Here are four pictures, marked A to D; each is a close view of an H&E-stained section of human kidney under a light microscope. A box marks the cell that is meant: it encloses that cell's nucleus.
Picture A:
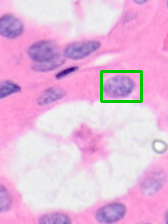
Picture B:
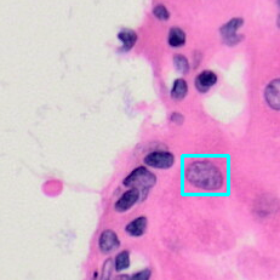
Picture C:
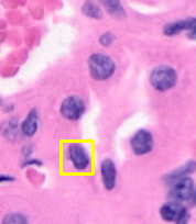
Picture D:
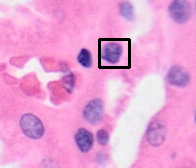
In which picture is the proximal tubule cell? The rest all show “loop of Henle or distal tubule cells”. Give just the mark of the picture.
B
